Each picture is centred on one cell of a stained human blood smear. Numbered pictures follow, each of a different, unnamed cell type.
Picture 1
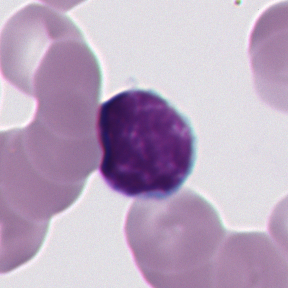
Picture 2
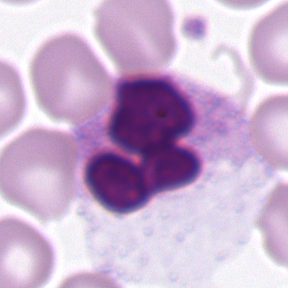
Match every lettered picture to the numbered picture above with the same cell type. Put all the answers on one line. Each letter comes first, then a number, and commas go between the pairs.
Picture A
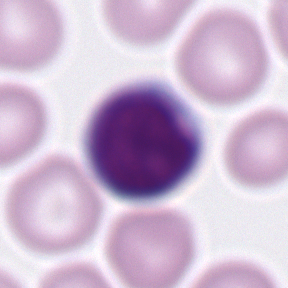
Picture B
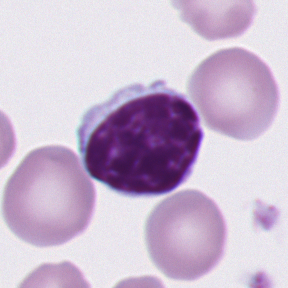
A 1, B 1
